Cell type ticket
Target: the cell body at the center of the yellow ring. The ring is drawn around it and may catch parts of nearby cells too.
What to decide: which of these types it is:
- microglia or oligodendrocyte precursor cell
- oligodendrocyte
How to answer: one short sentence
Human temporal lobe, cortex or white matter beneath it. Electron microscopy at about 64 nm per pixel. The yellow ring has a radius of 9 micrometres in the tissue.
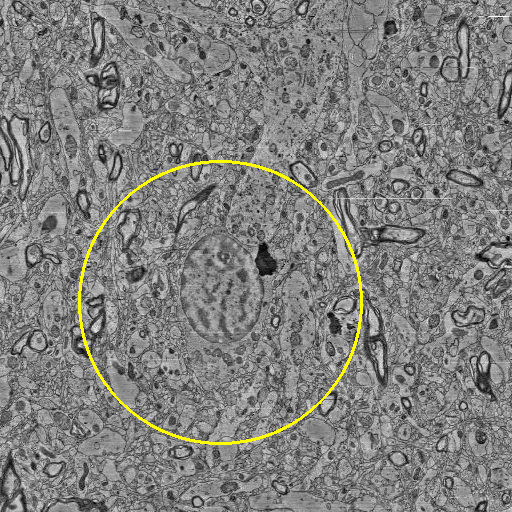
The cell at the center of the ring is an oligodendrocyte.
